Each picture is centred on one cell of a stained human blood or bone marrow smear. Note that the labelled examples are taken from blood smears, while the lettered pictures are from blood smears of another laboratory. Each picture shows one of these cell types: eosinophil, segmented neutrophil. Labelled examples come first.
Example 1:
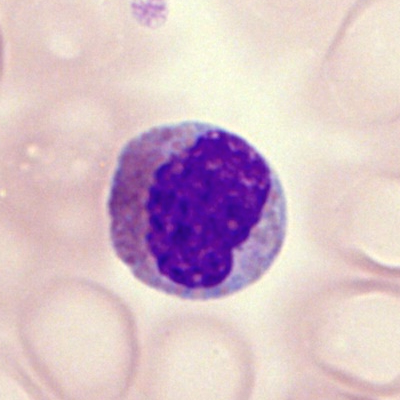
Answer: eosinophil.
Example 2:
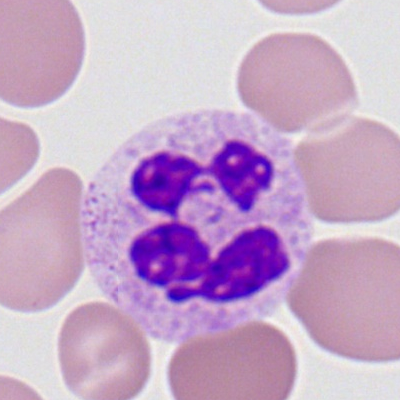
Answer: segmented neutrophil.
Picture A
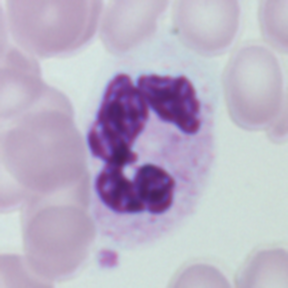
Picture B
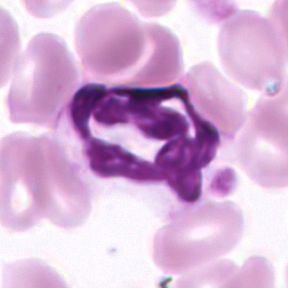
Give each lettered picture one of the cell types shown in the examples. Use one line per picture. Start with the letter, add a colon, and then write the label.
A: segmented neutrophil.
B: segmented neutrophil.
